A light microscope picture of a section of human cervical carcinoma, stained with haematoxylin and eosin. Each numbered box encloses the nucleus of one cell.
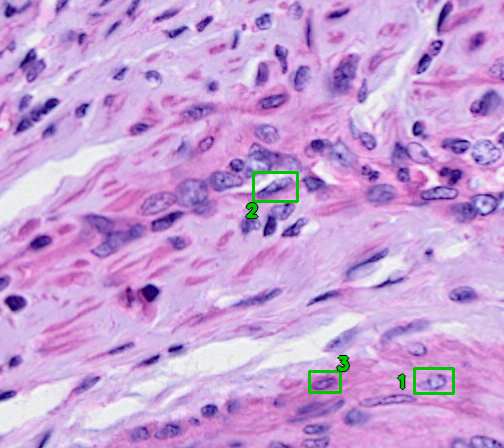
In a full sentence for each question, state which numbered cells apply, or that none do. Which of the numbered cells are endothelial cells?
In this set of numbered cells, only cell 2 is an endothelial cell.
